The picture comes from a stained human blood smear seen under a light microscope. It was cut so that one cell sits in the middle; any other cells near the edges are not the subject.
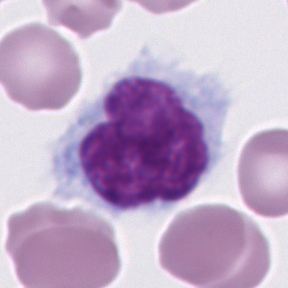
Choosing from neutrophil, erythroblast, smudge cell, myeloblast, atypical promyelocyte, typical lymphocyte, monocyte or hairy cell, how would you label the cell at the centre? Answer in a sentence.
The crop shows a hairy cell in its centre.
